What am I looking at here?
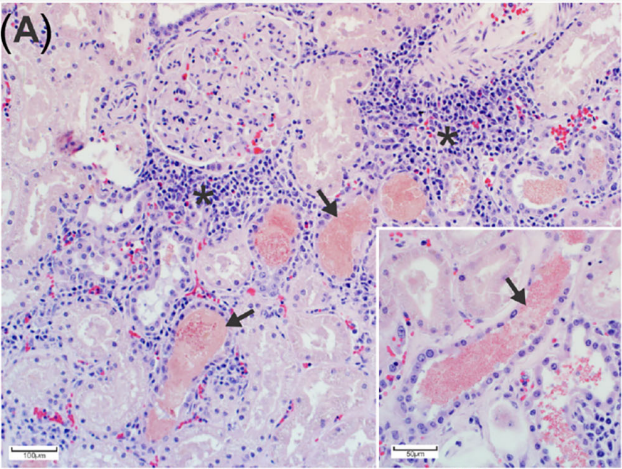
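This is kidney cortex with a glomerulus and surrounding tubules, several of whose lumina are filled by homogeneous, finely granular pink casts. Between the tubules the interstitium is widened by dense clusters of small cells with round dark nuclei. The inset shows a tubule lined by cuboidal epithelium with a pink cast filling its lumen.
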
